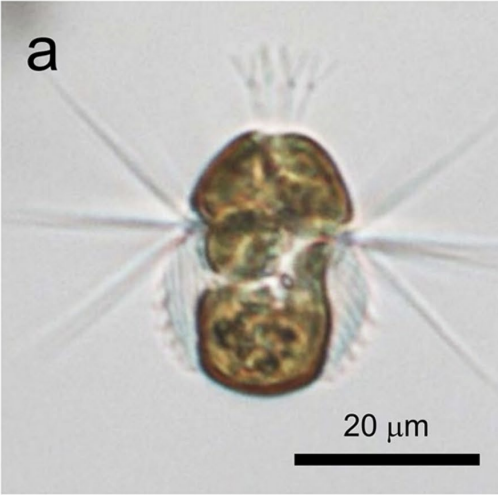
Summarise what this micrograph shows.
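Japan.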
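Long fine straight cirri radiate outward from the constriction, and a skirt of striated ciliary rows surrounds the lower lobe. Short tentacle-like processes project from the top end.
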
